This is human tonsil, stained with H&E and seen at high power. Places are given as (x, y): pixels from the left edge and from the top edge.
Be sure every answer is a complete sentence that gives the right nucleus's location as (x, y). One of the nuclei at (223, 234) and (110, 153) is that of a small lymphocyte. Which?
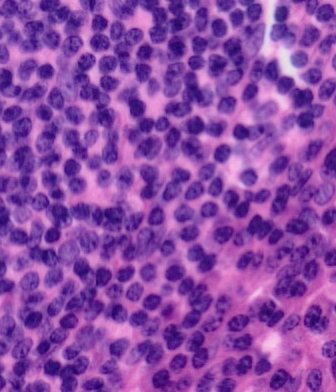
The pair contains one nucleus of a small lymphocyte, namely the one at (110, 153).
